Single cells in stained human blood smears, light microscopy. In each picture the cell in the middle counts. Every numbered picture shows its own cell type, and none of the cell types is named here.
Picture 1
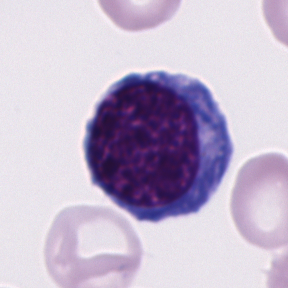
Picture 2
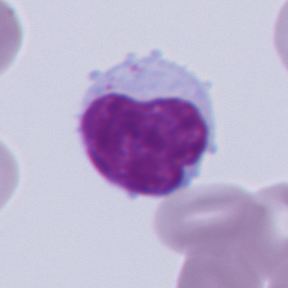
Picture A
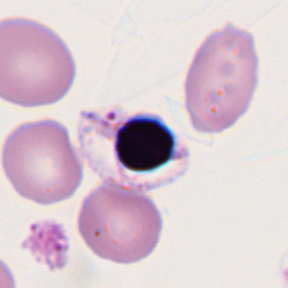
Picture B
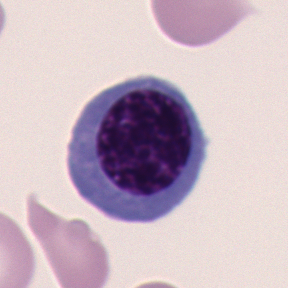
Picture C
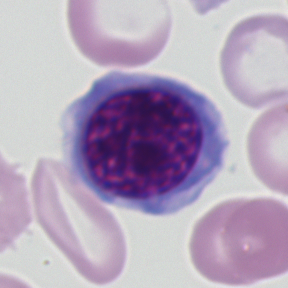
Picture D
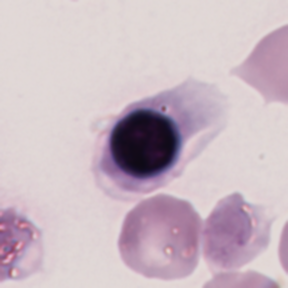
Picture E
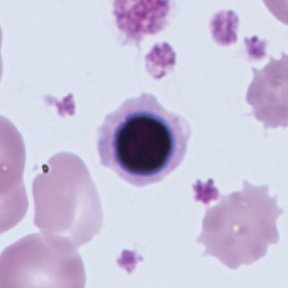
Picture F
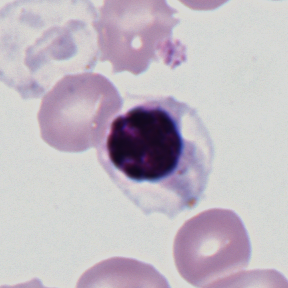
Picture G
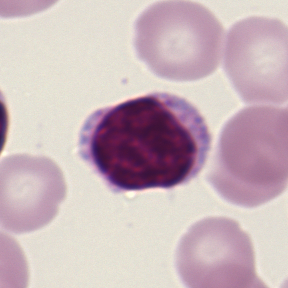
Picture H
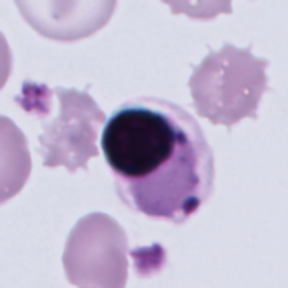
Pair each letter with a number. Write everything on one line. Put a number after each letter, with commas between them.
A 1, B 1, C 1, D 1, E 1, F 1, G 2, H 1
